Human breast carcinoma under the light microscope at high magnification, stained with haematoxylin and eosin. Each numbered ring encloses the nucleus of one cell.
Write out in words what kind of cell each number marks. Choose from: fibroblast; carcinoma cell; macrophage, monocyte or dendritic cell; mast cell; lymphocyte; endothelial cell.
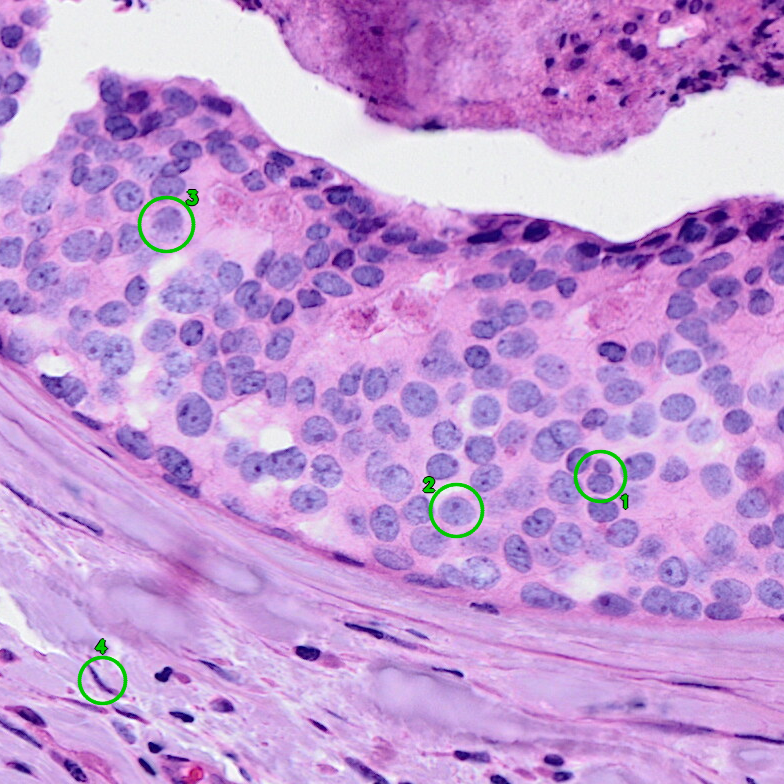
Cell 1 is a carcinoma cell, cell 2 is a carcinoma cell, cell 3 is a carcinoma cell and cell 4 is a fibroblast.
